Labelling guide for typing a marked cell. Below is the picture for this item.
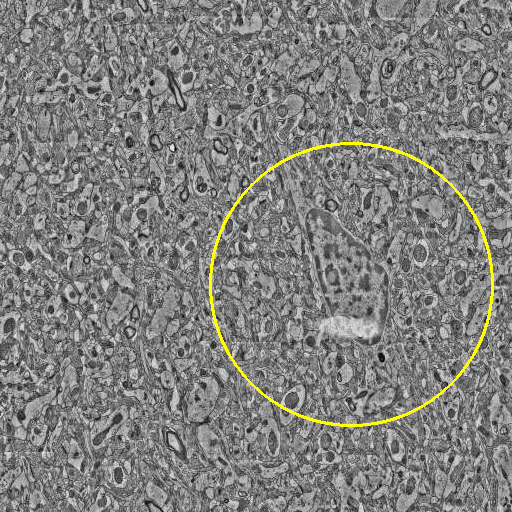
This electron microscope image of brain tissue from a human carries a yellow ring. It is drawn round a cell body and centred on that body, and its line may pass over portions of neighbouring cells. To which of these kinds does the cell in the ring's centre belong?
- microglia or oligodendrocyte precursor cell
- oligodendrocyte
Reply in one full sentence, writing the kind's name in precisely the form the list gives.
Here we have a microglial cell or oligodendrocyte precursor cell at the centre of the yellow ring in the picture.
